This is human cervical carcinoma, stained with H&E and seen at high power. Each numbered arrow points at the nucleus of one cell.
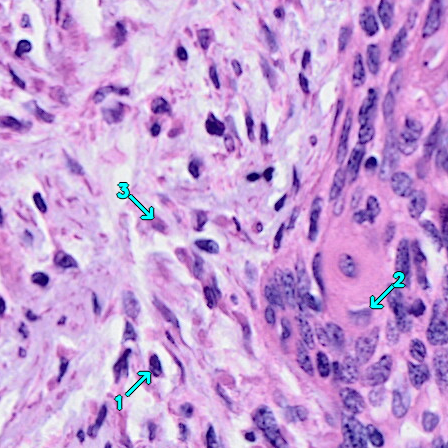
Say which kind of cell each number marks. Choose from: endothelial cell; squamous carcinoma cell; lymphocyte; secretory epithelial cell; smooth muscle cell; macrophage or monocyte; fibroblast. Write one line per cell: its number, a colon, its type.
1: lymphocyte
2: squamous carcinoma cell
3: fibroblast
